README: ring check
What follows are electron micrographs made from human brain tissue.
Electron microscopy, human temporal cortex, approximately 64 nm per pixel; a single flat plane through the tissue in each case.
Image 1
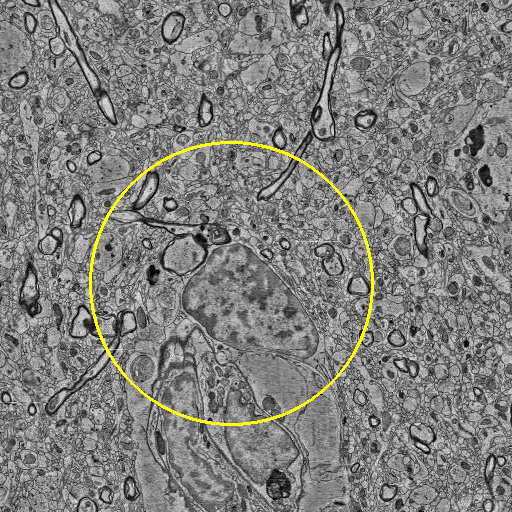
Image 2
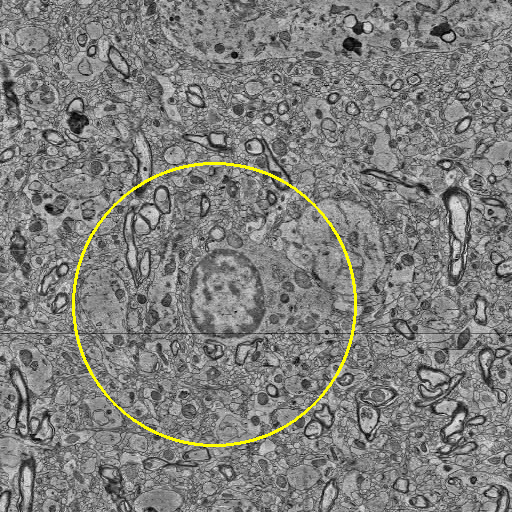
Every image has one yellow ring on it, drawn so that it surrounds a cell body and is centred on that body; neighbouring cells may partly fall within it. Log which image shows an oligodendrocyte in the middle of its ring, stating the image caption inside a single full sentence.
Image 2 is where the cell at the ring's centre matches the one asked for.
